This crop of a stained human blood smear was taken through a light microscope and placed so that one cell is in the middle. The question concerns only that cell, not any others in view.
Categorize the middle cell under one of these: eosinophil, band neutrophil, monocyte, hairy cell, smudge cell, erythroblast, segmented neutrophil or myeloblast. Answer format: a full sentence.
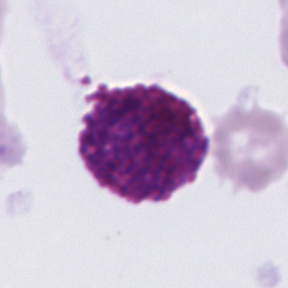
In this crop, the cell at the very middle is an eosinophil.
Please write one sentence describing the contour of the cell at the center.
The margin of this cell is irregular, showing raggedness or projections instead of smoothness.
